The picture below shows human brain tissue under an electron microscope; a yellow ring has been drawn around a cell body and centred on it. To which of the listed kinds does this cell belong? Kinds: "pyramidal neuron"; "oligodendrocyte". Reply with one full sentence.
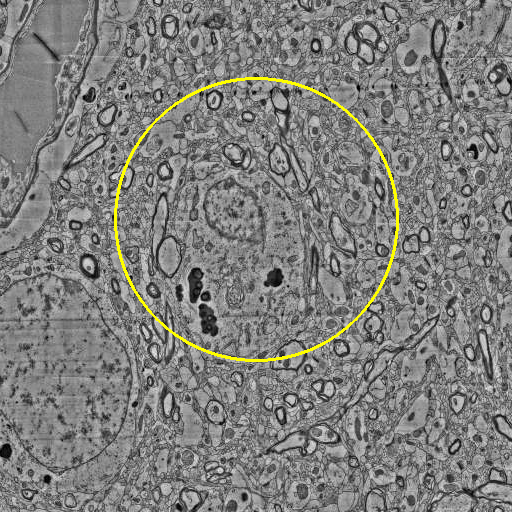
It is a pyramidal neuron that the yellow ring in the picture is centred on.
